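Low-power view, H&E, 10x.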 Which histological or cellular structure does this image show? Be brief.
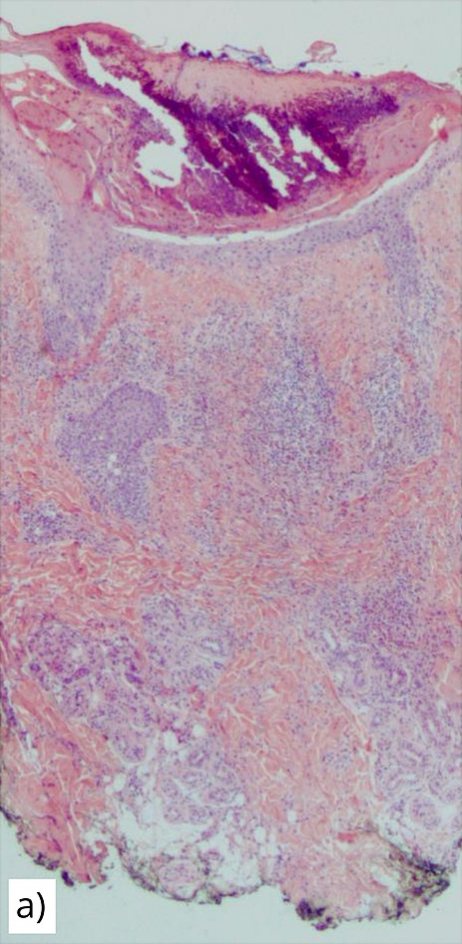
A: Central crust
